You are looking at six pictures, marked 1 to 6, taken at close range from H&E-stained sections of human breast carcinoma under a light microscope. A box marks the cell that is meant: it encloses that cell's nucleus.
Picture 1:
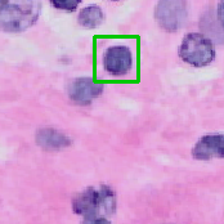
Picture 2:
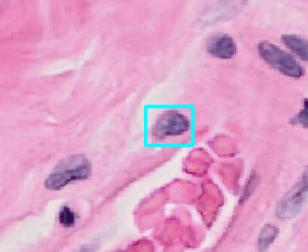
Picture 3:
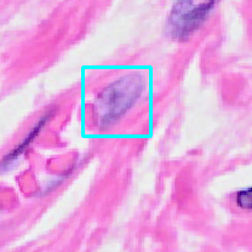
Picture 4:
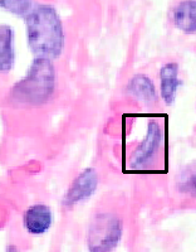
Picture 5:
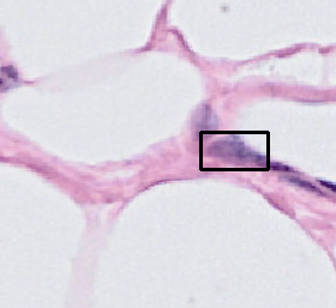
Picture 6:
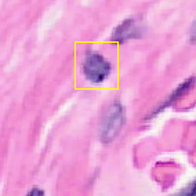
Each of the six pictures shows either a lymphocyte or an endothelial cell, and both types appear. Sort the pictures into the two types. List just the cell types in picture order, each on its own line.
lymphocyte
endothelial cell
endothelial cell
endothelial cell
endothelial cell
lymphocyte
